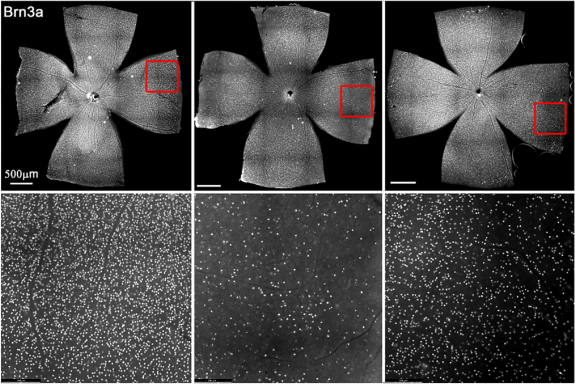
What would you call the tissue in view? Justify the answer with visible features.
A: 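The top flat mounts are cut into four petals radiating from a central disc. The top flat mounts show vessels converging on that central disc. The lower fields show many scattered small round labelled nuclei in a single plane.
Retina.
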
